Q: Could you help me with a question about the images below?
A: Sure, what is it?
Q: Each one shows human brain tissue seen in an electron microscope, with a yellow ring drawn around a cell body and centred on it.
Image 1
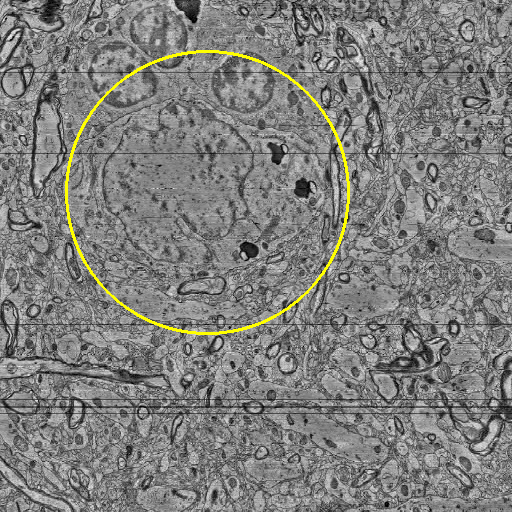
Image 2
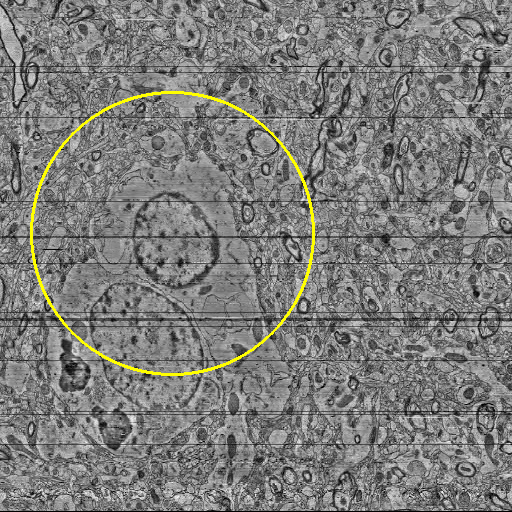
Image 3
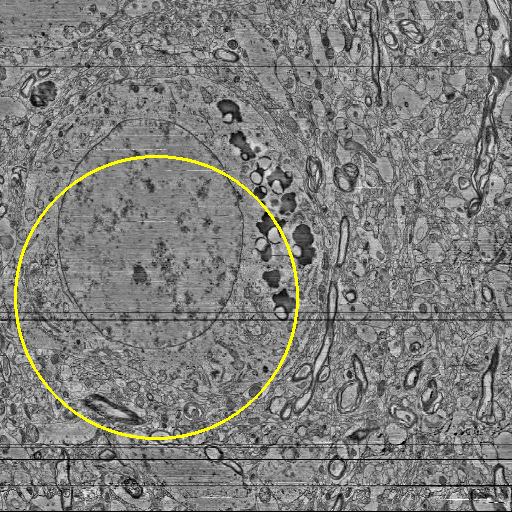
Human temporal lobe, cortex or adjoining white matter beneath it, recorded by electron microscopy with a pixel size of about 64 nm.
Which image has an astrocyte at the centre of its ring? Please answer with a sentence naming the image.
Image 2 has it at the centre of its ring.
